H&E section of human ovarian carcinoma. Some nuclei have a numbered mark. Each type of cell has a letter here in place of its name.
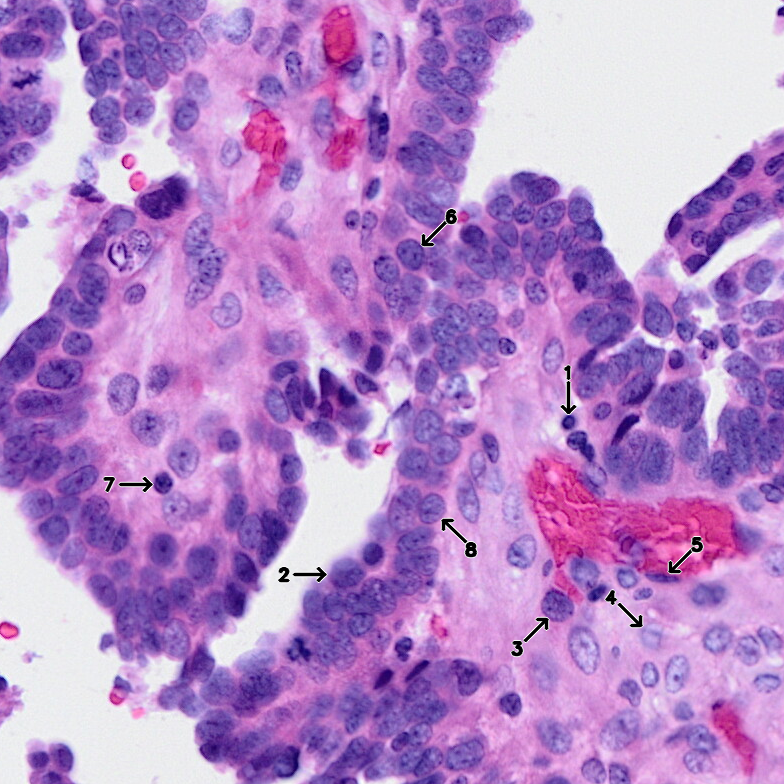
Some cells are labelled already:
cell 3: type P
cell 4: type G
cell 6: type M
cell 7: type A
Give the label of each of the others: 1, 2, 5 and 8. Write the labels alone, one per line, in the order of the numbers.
type A
type M
type P
type M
